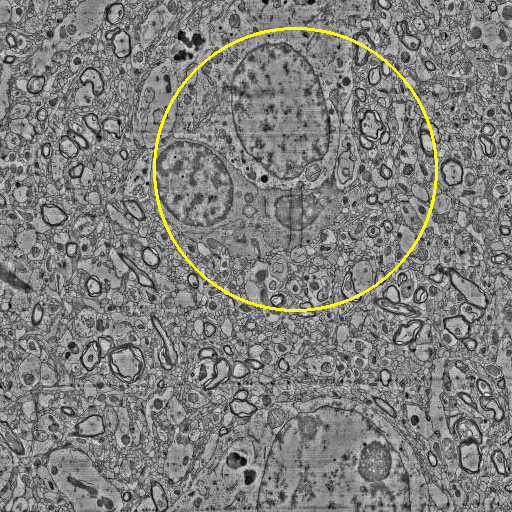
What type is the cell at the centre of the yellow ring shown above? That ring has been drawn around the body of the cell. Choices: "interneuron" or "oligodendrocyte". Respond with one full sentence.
My answer is that an oligodendrocyte lies at the centre of the yellow ring above.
